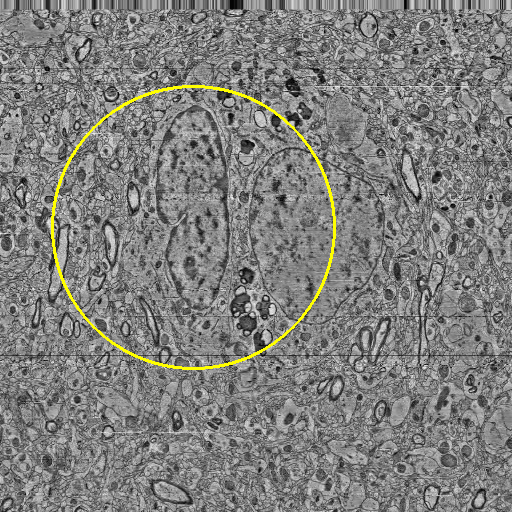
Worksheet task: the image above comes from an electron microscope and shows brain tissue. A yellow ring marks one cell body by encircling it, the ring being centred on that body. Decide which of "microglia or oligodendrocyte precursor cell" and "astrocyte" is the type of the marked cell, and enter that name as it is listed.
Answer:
microglia or oligodendrocyte precursor cell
